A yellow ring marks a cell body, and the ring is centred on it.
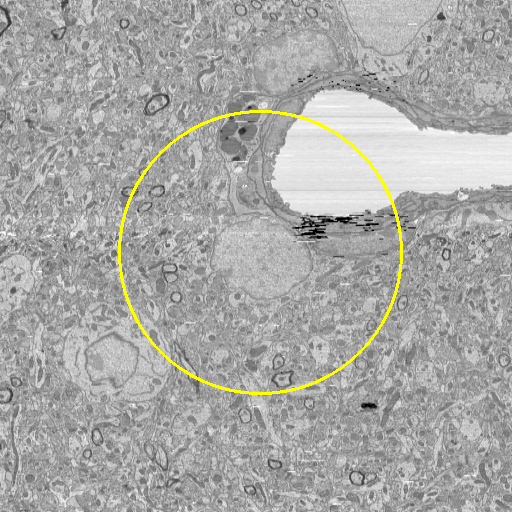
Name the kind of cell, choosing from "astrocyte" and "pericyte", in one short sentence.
The marked cell body belongs to an astrocyte.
